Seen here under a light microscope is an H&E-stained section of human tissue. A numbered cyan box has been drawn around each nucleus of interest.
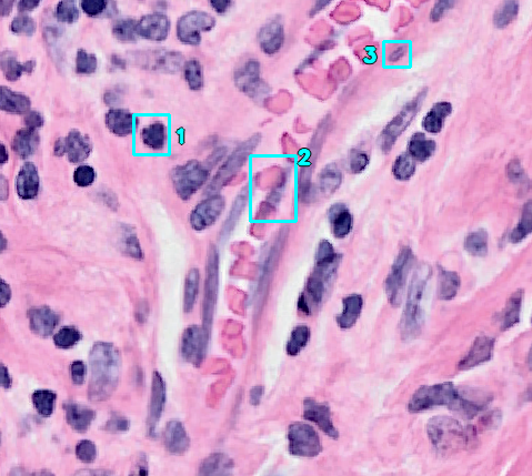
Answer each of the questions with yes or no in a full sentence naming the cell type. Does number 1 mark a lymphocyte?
Yes, the cell corresponding to number 1 is a lymphocyte.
